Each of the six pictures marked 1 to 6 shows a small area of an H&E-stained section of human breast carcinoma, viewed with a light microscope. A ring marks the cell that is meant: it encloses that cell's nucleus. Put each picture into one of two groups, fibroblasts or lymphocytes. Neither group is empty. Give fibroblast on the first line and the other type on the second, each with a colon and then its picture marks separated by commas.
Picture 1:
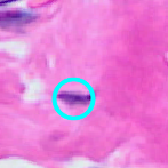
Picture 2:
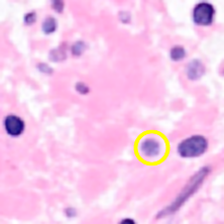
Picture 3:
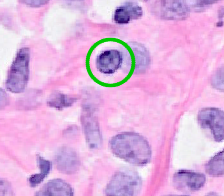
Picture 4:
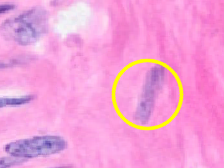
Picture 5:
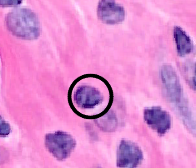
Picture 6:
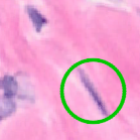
fibroblast: 1, 4, 6
lymphocyte: 2, 3, 5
